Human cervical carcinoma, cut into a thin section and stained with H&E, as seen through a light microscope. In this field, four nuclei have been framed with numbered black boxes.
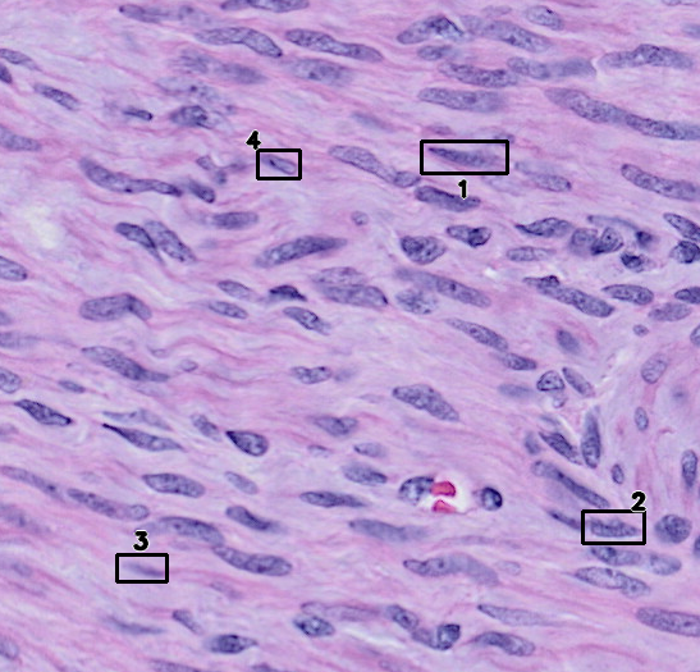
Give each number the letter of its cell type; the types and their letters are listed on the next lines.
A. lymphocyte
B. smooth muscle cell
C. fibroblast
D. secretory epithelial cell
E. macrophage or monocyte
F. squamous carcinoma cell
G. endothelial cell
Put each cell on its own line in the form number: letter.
1: B
2: C
3: B
4: B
